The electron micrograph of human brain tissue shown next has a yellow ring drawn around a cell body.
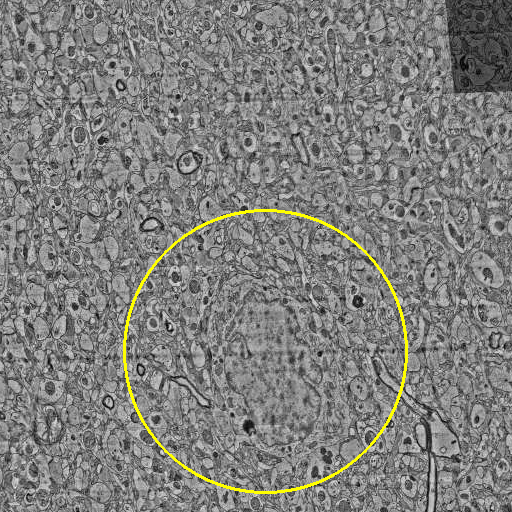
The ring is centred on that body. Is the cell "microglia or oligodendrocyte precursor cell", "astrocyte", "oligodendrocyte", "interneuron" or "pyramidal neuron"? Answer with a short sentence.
The cell in question is an interneuron.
